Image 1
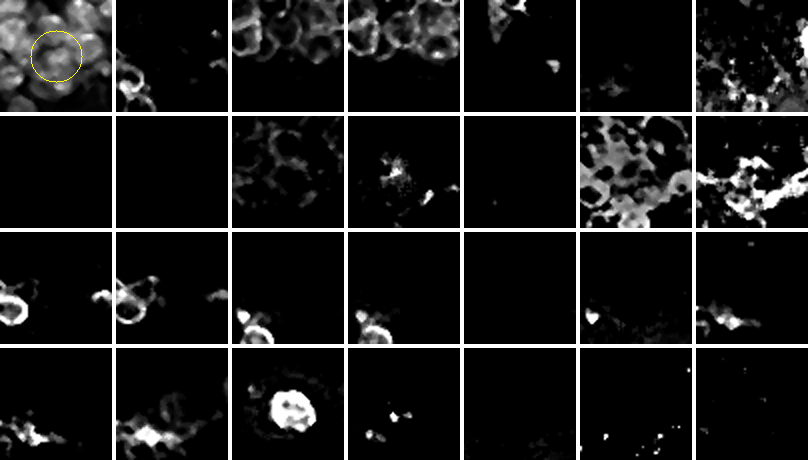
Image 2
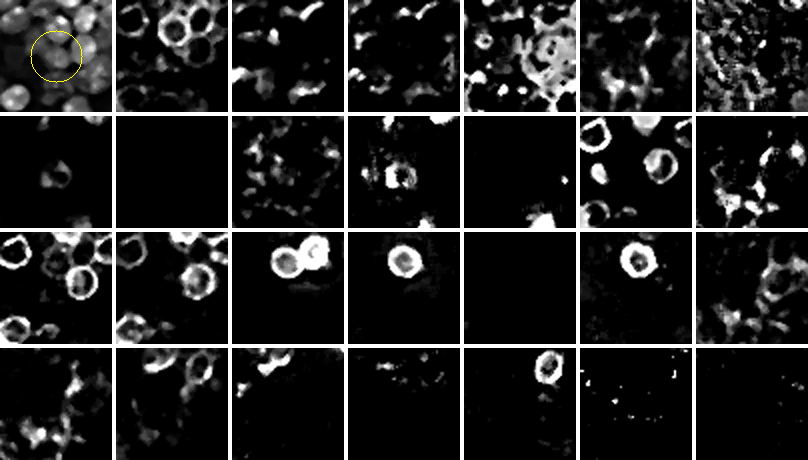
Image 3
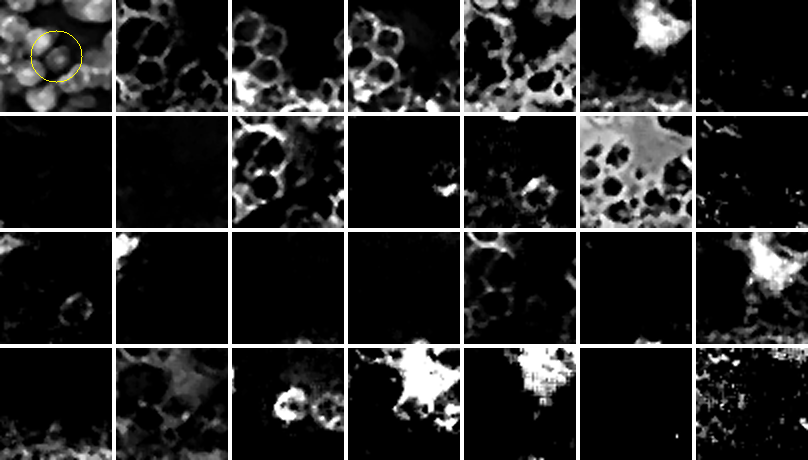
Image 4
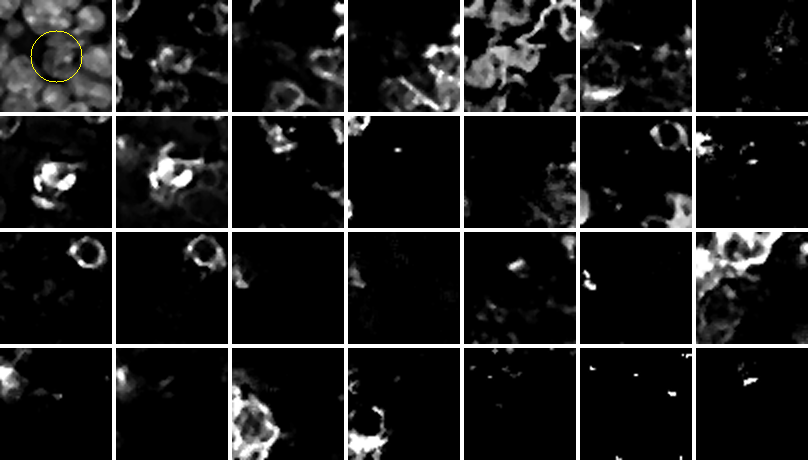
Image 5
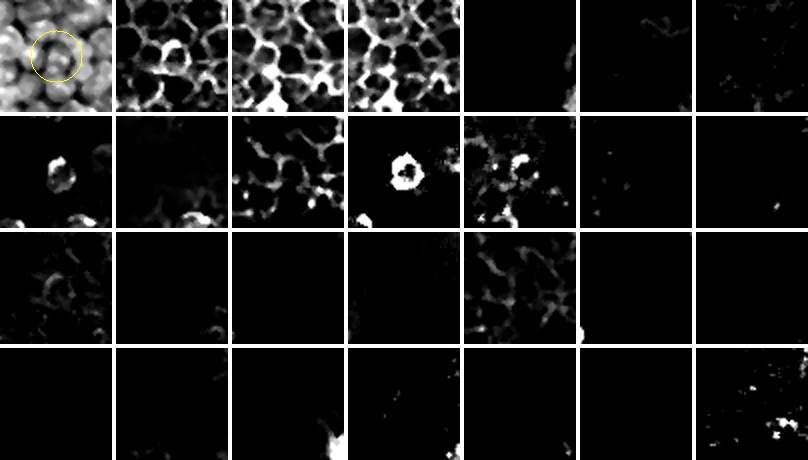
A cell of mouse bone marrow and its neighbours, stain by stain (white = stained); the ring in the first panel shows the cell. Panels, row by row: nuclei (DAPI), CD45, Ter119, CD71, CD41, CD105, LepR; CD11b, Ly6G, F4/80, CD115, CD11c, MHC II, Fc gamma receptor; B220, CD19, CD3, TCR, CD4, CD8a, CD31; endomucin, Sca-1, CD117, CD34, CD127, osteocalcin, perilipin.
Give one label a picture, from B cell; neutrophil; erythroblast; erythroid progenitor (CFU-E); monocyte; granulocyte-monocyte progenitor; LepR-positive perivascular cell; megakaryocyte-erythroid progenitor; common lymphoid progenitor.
(1) granulocyte-monocyte progenitor
(2) monocyte
(3) megakaryocyte-erythroid progenitor
(4) neutrophil
(5) monocyte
